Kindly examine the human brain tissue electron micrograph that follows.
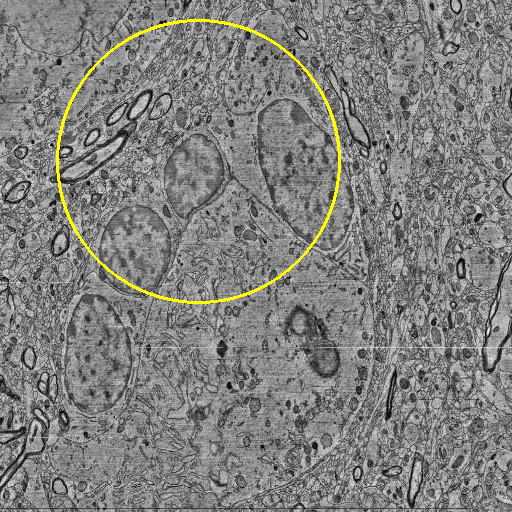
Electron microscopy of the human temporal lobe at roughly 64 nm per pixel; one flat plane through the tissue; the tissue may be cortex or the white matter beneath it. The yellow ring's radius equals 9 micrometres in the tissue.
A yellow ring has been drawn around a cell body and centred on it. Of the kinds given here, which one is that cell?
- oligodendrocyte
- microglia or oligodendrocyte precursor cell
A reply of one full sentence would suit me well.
The micrograph's ringed cell, the one at the ring's centre, is an oligodendrocyte.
